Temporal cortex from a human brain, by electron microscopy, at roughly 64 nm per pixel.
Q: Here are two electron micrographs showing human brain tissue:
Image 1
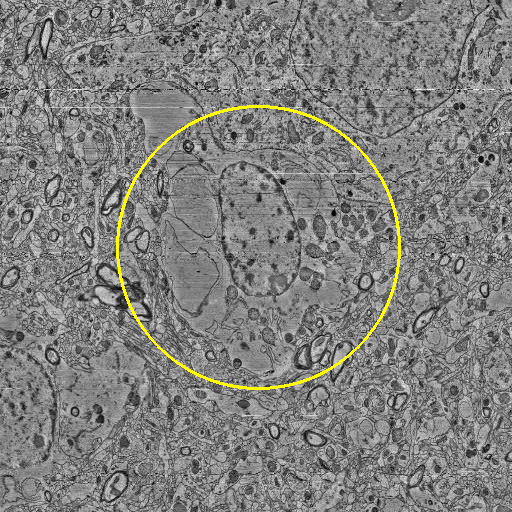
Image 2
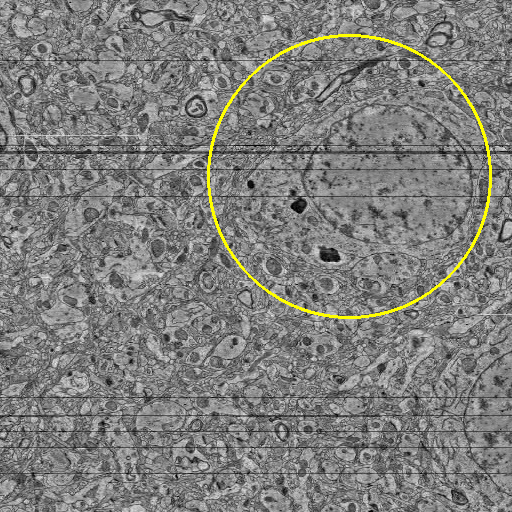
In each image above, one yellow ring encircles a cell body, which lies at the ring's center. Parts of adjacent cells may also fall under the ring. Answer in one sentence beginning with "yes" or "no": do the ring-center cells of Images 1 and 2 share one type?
No, in Images 1 and 2, the ring-center cells are of two types.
